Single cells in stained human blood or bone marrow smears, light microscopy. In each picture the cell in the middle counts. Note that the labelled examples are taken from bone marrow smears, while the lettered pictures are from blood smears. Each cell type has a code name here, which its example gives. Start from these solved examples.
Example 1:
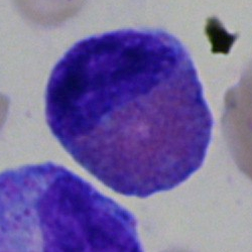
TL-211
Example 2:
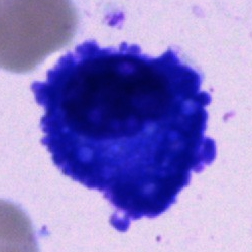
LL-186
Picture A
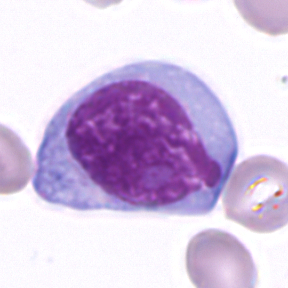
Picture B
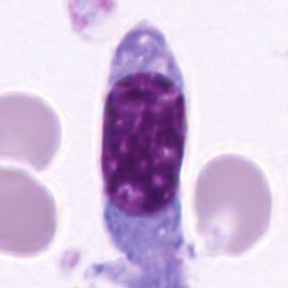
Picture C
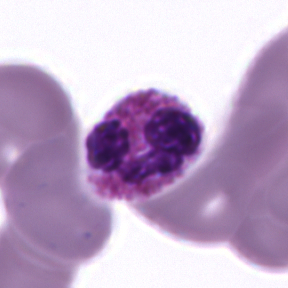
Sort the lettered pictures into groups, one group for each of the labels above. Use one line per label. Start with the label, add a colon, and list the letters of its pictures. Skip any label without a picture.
TL-211: C
LL-186: A, B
